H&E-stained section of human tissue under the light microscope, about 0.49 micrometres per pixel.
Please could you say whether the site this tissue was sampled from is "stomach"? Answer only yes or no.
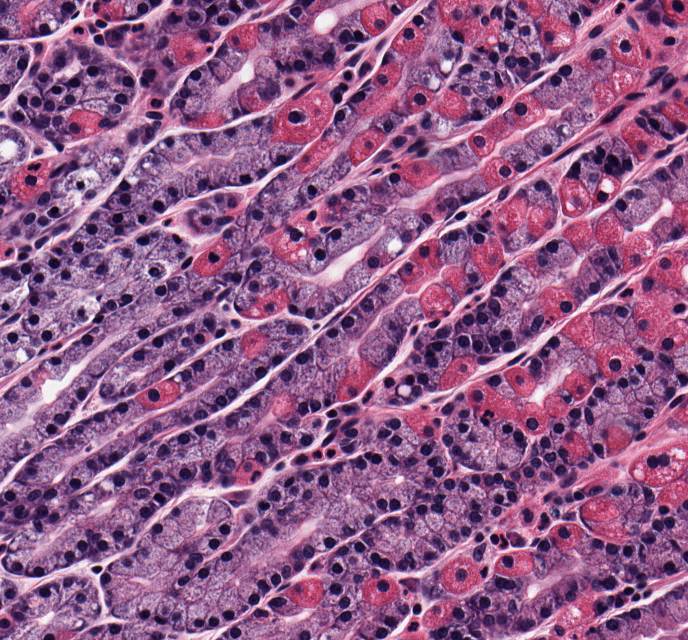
yes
